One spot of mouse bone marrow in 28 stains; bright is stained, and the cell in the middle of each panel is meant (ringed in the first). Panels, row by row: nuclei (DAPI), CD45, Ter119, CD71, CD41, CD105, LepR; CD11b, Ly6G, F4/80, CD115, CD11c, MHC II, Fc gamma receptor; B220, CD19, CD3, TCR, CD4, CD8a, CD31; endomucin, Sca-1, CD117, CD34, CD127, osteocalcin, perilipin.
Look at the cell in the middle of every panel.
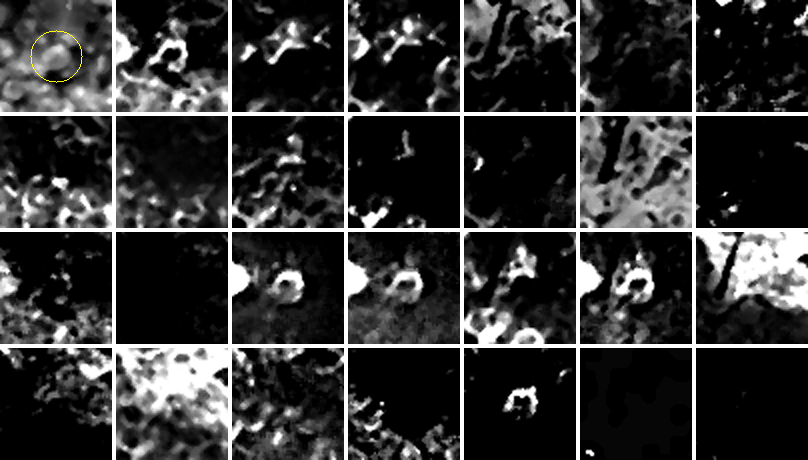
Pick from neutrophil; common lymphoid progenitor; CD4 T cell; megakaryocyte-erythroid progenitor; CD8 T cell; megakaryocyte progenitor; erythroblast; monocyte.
CD8 T cell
